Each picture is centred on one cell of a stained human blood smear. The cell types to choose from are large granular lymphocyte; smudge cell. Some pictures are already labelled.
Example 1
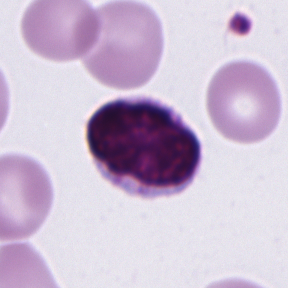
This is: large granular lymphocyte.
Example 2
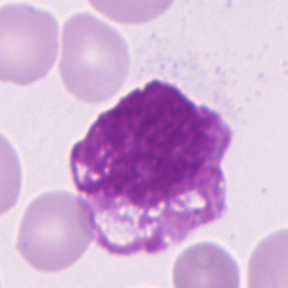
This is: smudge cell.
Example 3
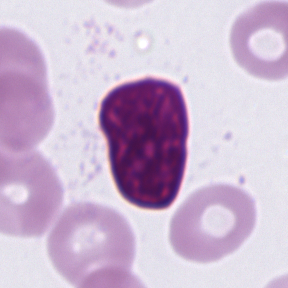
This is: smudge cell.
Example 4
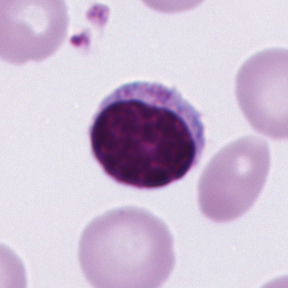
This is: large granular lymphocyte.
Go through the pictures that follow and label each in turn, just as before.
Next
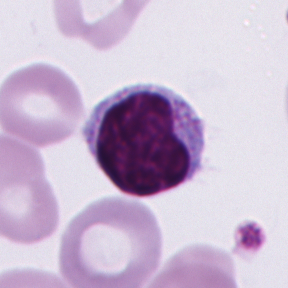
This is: large granular lymphocyte.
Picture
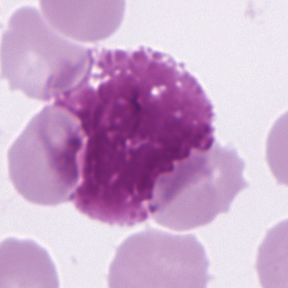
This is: smudge cell.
